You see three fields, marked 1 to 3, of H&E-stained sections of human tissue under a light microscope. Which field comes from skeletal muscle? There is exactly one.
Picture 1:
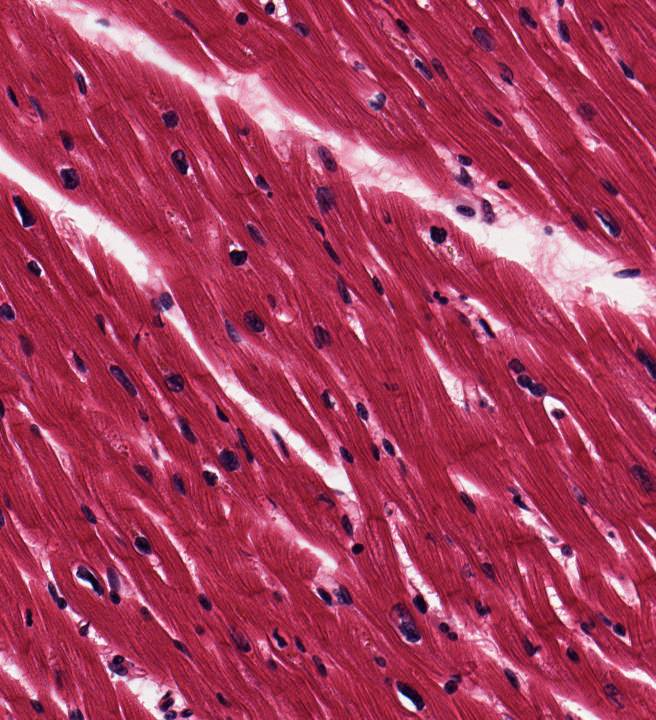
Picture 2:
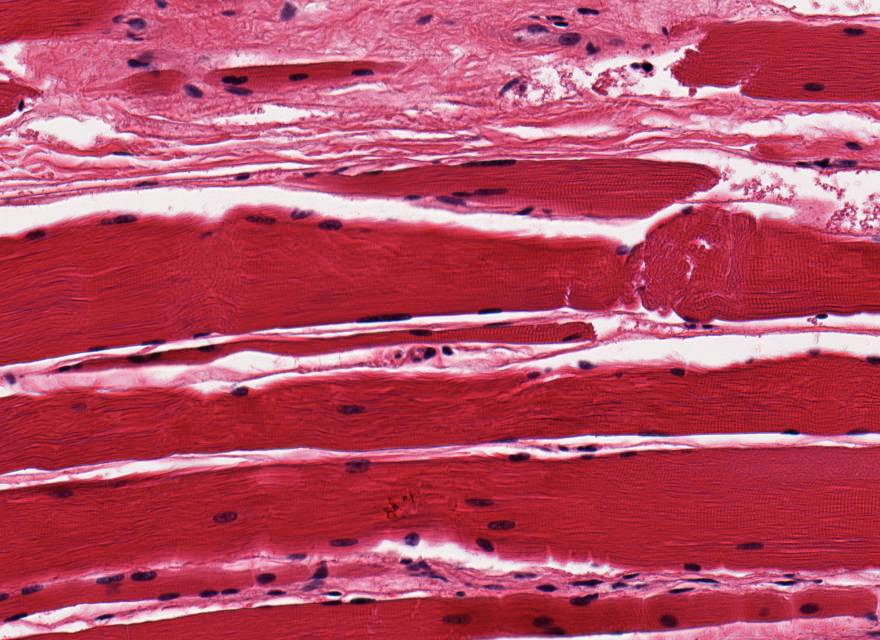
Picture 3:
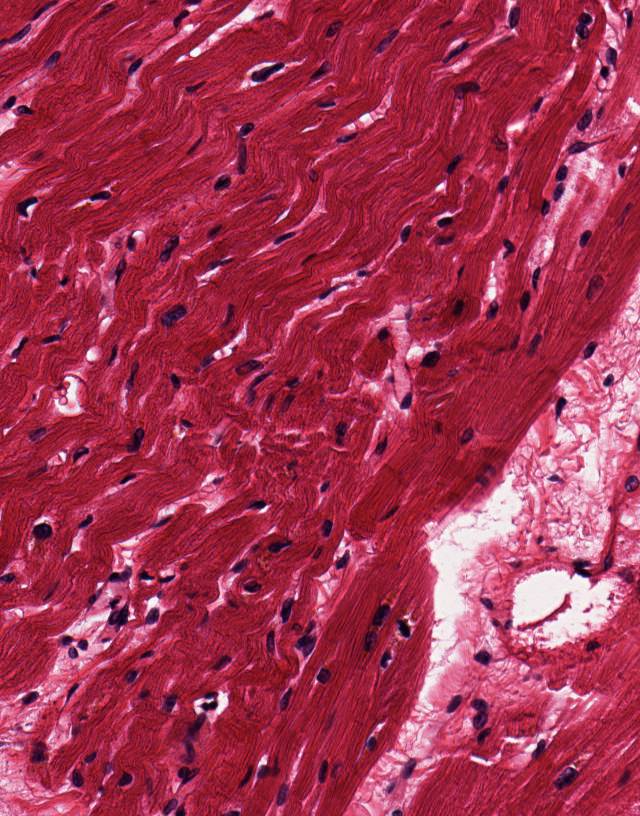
2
